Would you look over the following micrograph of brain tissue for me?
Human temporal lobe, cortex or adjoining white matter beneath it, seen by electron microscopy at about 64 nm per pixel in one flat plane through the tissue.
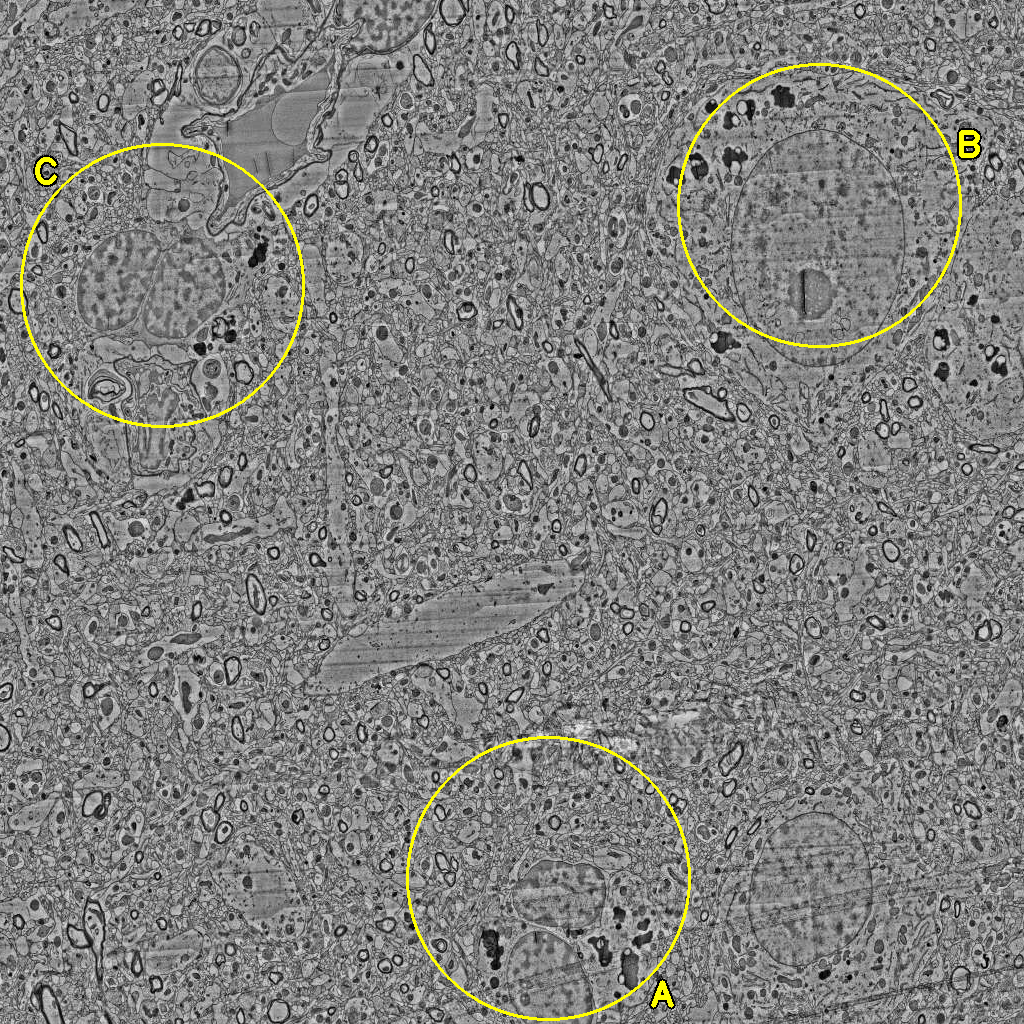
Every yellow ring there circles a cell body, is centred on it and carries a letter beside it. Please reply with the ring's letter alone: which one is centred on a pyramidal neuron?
B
